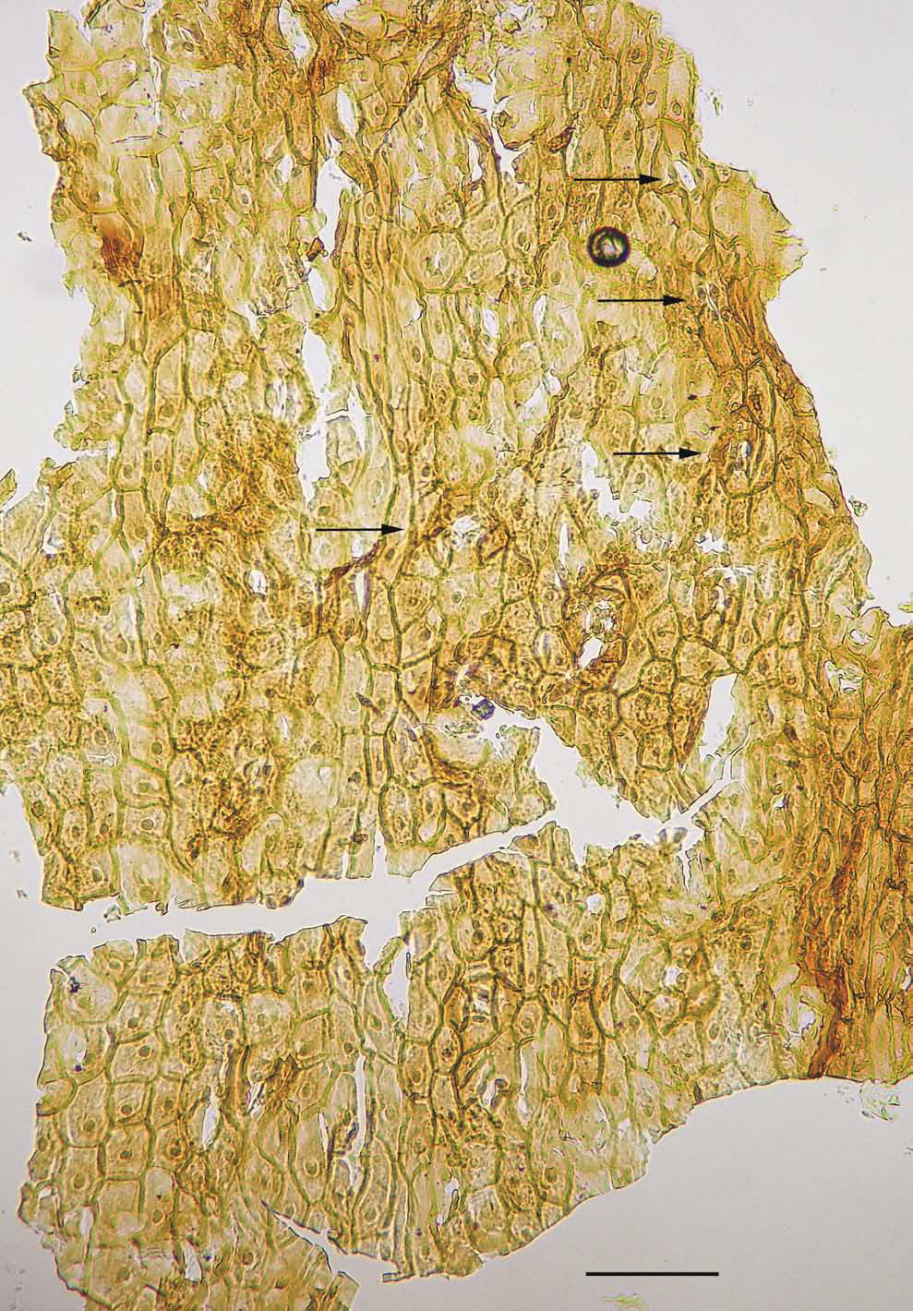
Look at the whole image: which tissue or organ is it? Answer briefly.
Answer: Cuticle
